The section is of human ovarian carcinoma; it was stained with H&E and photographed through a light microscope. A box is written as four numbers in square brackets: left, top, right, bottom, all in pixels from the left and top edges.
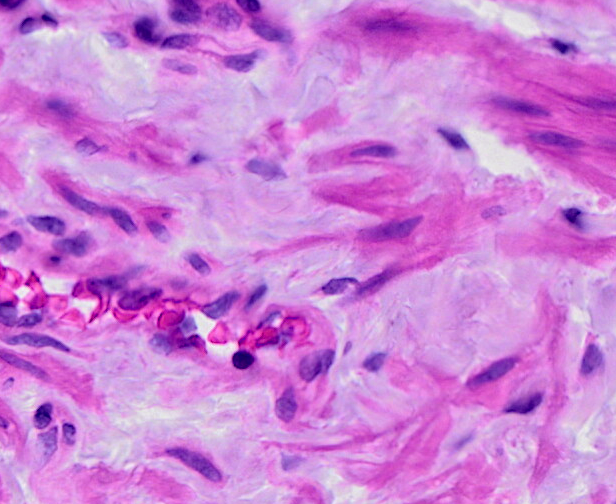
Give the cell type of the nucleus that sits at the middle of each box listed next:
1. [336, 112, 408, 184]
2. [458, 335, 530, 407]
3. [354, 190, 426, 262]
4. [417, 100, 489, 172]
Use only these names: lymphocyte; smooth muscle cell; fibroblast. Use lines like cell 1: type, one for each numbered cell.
cell 1: smooth muscle cell
cell 2: smooth muscle cell
cell 3: smooth muscle cell
cell 4: fibroblast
